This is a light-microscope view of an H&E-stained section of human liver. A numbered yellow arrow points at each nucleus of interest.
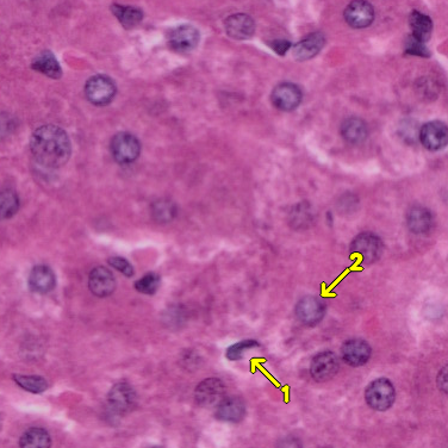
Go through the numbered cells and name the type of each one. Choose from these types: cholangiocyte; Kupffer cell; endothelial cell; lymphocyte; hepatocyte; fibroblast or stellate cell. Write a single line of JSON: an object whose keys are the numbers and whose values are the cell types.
{"1": "endothelial cell", "2": "hepatocyte"}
